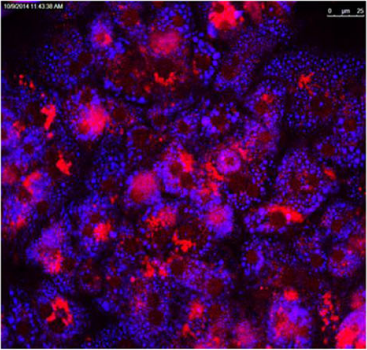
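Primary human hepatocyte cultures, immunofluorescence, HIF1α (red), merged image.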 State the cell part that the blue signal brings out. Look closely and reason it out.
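Lipid droplet. Blue signal marks many small round vesicle-like bodies packed in the cytoplasm of every cell. The round blue bodies are of fairly uniform small size and fill the cells around central nuclei.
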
